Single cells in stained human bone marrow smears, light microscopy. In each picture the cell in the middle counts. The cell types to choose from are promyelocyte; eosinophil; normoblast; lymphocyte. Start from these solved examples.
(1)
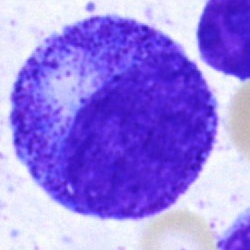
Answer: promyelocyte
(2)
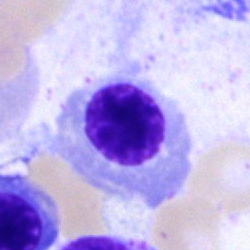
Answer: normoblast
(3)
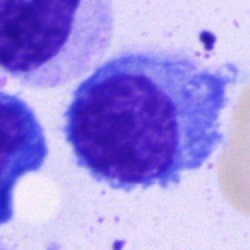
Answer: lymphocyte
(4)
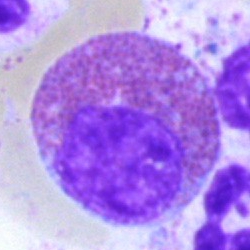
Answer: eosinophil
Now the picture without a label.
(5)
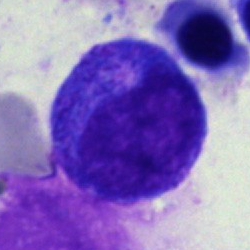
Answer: promyelocyte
